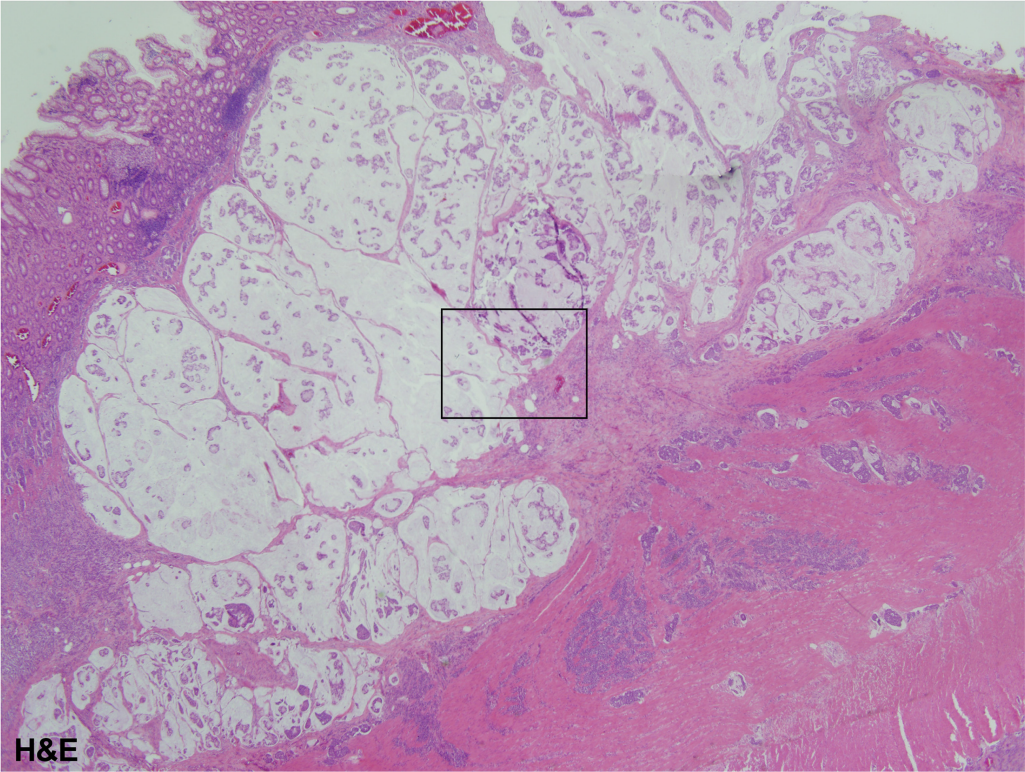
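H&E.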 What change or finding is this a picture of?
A: Abundant mucin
